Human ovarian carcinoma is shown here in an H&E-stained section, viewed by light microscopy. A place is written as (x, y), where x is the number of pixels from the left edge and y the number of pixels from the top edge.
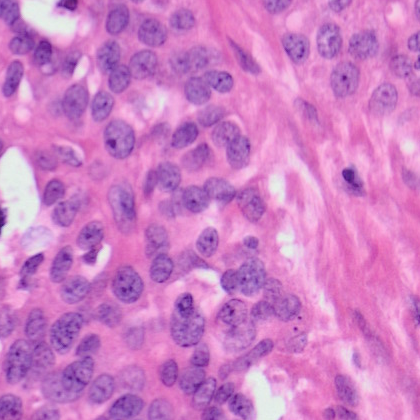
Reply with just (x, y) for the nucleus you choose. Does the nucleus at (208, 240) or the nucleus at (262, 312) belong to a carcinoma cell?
(262, 312)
